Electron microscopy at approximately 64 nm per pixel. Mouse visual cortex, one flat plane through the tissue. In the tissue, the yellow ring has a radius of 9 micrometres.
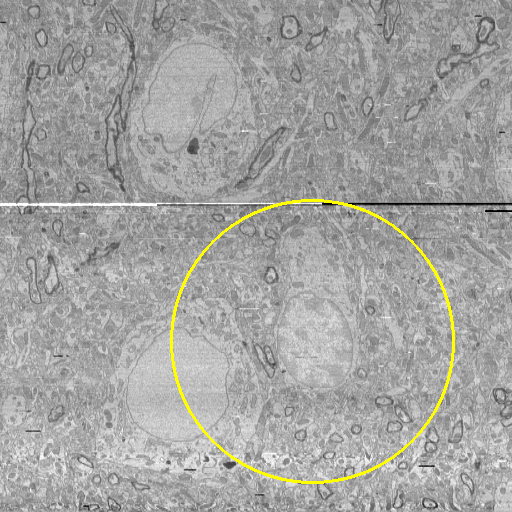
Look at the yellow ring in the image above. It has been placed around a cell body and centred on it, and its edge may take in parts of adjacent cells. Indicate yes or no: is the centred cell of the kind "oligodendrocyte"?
yes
